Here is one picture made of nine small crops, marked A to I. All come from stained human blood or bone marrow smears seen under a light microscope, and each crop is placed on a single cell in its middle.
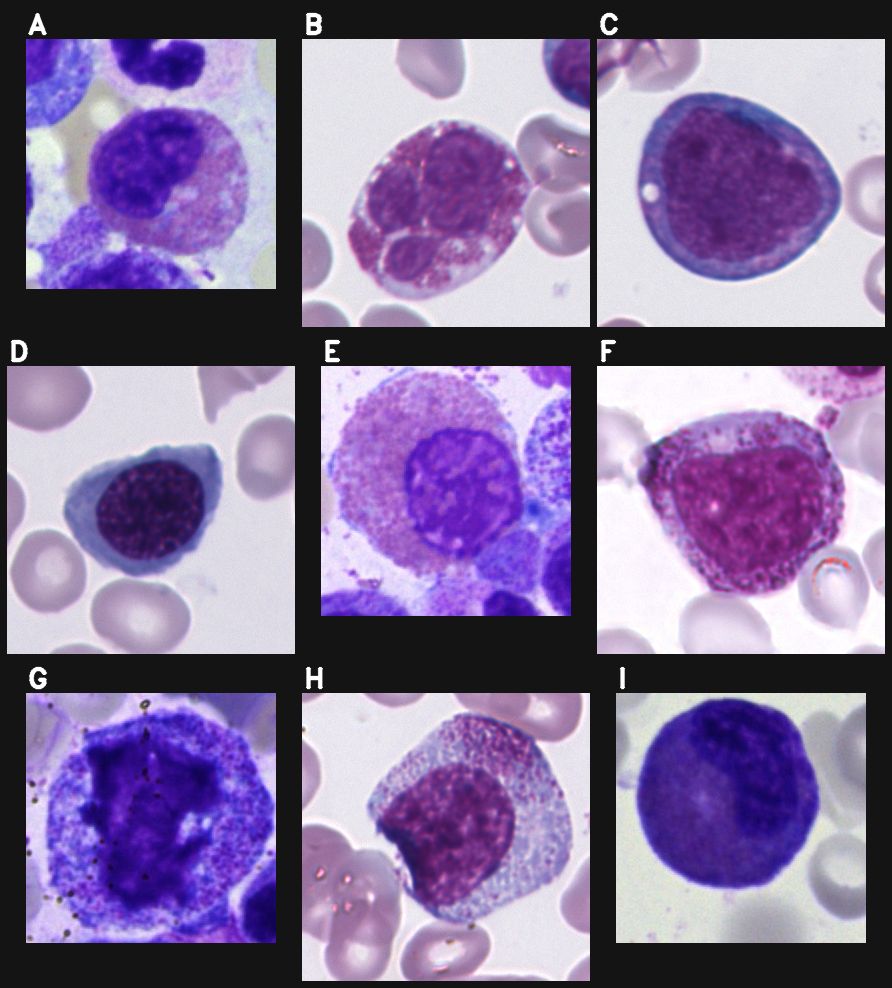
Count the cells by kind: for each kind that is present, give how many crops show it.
eosinophil: 4
promyelocyte: 4
erythroblast: 1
